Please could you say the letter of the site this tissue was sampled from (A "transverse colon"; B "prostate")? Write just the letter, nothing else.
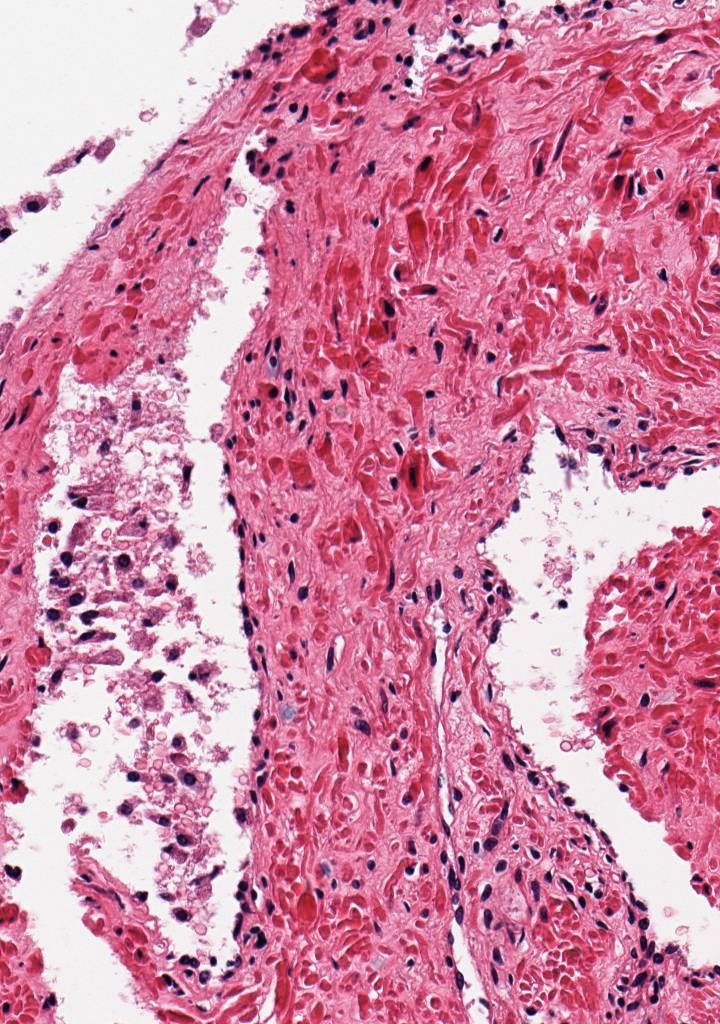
B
